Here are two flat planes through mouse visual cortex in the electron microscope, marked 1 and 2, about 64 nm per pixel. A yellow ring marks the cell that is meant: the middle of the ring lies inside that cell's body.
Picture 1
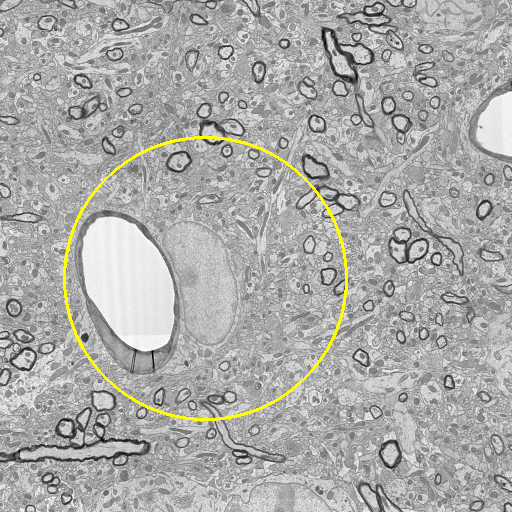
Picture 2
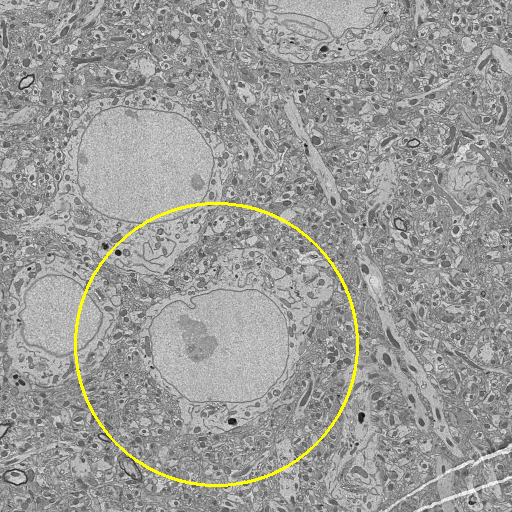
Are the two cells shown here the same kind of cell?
No. Picture 1 shows an astrocyte, but picture 2 shows an excitatory neuron.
